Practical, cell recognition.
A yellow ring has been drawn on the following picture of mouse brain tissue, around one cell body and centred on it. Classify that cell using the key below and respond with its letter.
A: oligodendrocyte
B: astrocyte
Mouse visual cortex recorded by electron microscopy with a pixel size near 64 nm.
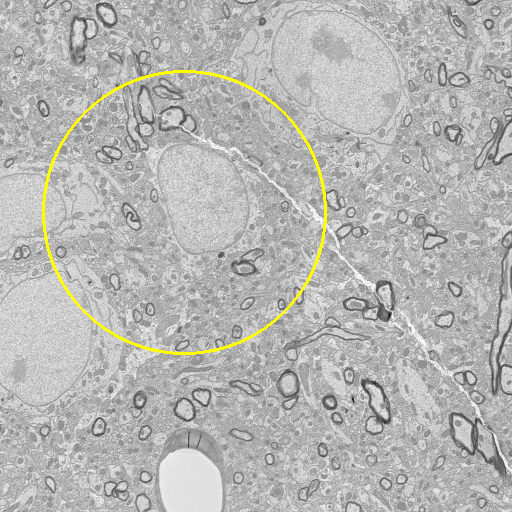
B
